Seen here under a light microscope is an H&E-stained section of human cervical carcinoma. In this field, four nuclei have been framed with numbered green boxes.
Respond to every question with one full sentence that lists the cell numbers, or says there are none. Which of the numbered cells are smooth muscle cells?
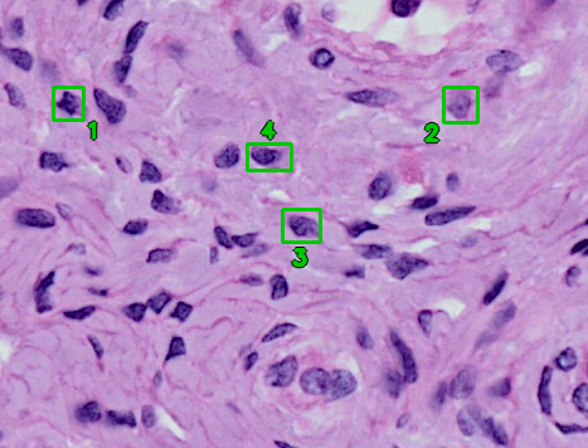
Just the cell marked 2 is a smooth muscle cell; none of the other marked cells is.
